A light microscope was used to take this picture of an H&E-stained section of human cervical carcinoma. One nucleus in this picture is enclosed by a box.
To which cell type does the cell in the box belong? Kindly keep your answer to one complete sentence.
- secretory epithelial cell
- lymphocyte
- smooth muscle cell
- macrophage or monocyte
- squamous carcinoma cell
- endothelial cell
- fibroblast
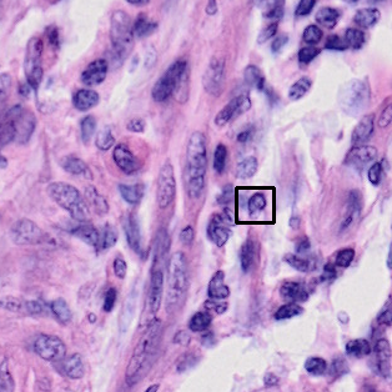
In the tissue at hand, the cell in the box is a lymphocyte.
